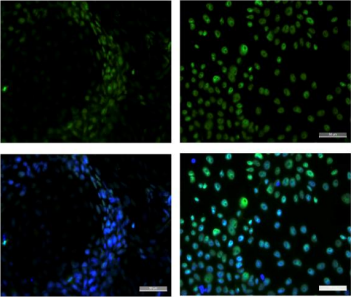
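These are cultured cells seen at low magnification with blue nuclei and a green nuclear stain. In the left column the nuclei crowd into a curved band, as though the cells are gathering into a ring-like tubular structure.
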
